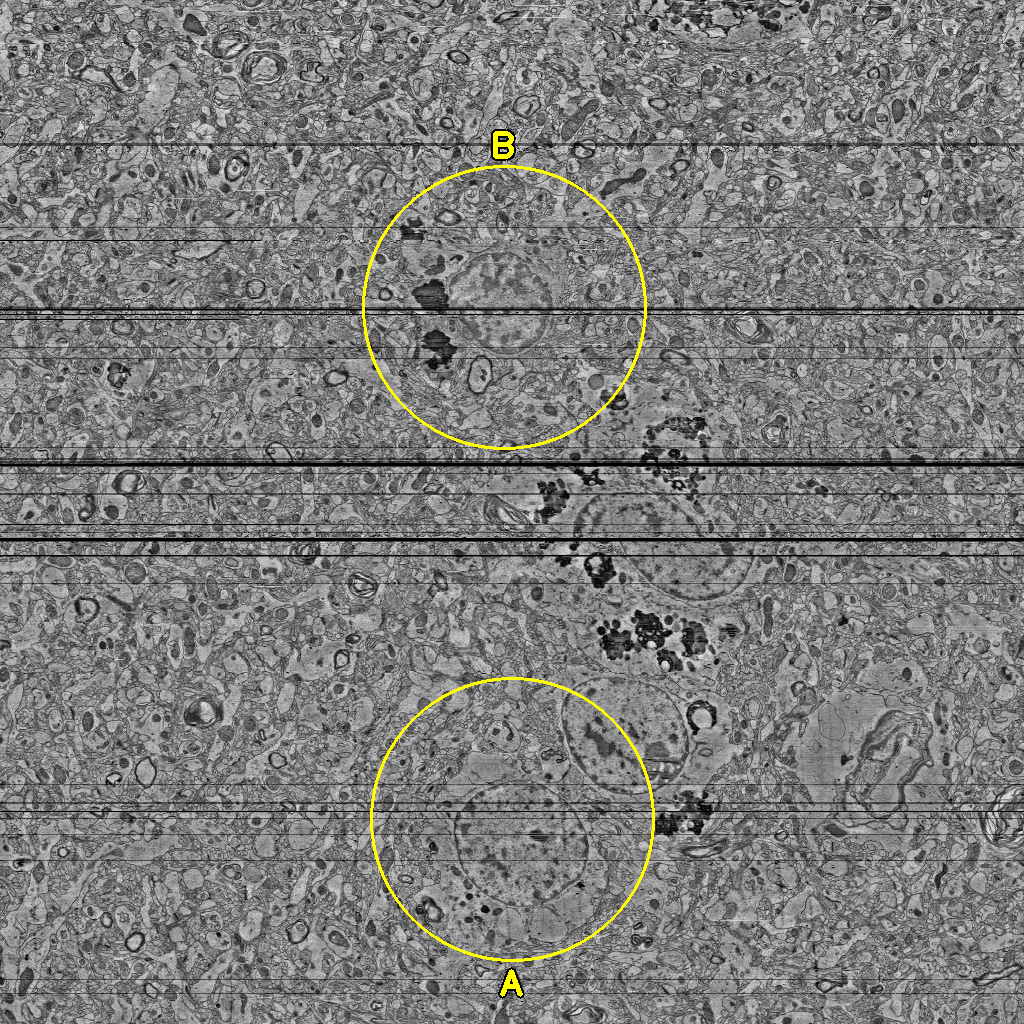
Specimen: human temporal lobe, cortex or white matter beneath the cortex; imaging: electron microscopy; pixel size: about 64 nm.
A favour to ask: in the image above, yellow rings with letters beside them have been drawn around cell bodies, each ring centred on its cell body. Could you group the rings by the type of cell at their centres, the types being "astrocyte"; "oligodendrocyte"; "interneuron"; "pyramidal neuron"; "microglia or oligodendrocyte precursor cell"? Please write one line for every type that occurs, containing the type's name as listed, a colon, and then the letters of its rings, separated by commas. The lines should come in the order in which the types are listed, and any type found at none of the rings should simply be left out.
astrocyte: A
oligodendrocyte: B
